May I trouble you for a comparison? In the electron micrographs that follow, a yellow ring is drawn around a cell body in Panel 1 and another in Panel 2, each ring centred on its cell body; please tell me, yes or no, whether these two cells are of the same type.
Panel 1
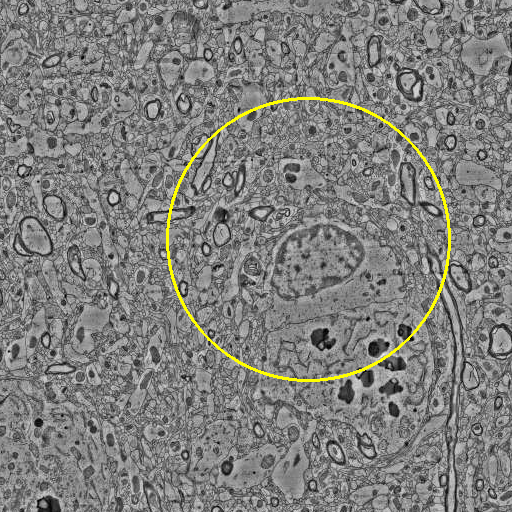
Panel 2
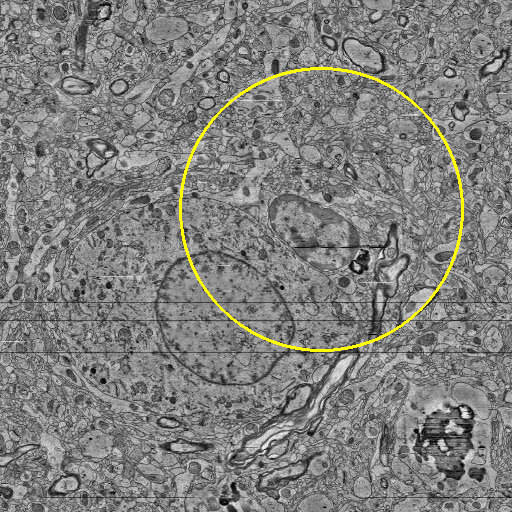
yes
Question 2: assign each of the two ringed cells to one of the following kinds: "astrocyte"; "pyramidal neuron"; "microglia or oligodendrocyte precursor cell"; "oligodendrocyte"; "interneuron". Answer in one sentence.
The cell at the ring centre is a microglial cell or oligodendrocyte precursor cell in both pictures.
